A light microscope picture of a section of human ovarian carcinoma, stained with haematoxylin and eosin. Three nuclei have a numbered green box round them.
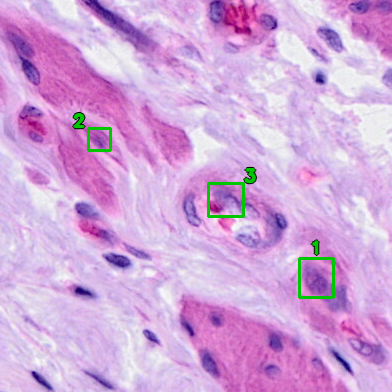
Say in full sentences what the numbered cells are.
Cells 1 and 3 are endothelial cells. Cell 2 is a smooth muscle cell.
